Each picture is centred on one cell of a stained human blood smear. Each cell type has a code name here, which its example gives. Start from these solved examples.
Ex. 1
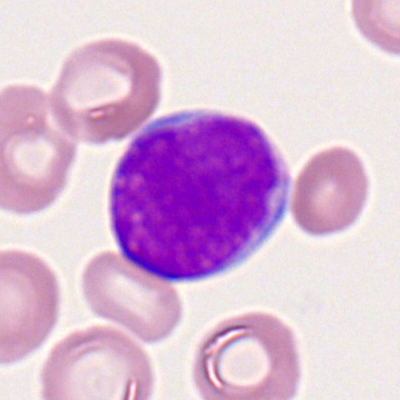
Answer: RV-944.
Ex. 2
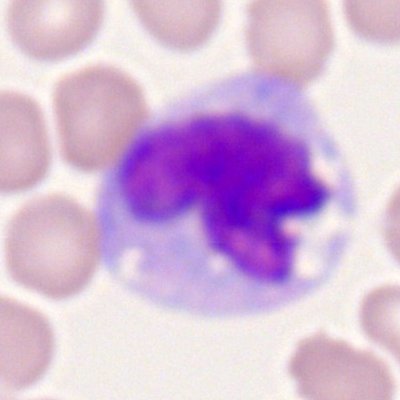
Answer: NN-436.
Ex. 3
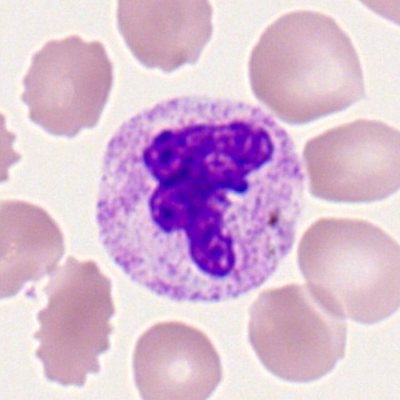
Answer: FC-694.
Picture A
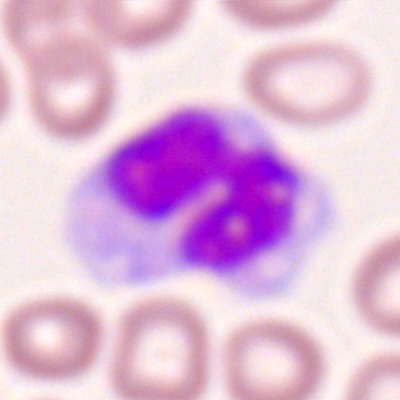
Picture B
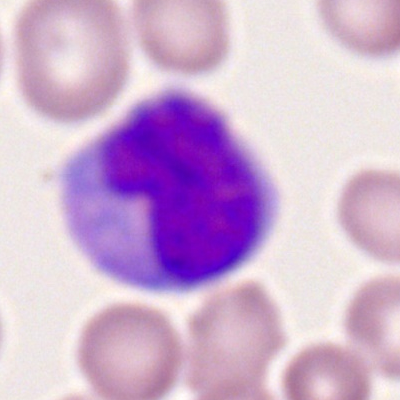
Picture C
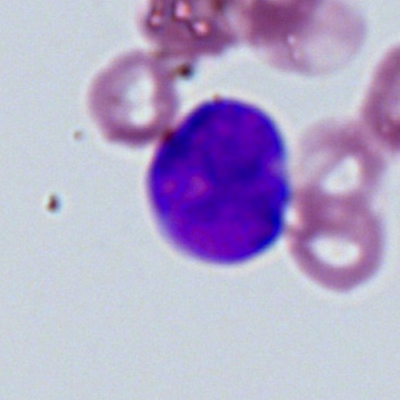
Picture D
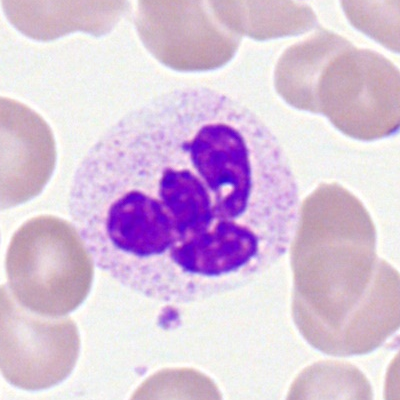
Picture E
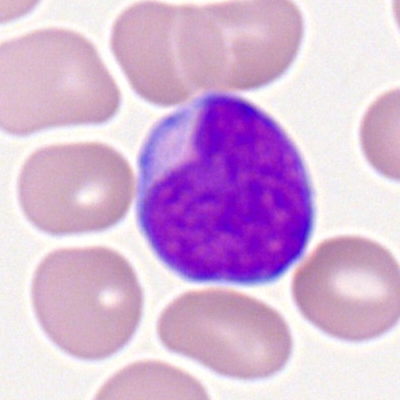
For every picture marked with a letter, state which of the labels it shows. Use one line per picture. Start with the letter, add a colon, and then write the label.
A: NN-436.
B: NN-436.
C: RV-944.
D: FC-694.
E: RV-944.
